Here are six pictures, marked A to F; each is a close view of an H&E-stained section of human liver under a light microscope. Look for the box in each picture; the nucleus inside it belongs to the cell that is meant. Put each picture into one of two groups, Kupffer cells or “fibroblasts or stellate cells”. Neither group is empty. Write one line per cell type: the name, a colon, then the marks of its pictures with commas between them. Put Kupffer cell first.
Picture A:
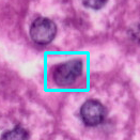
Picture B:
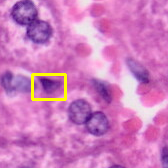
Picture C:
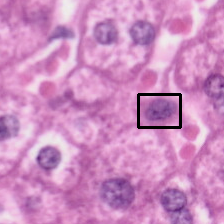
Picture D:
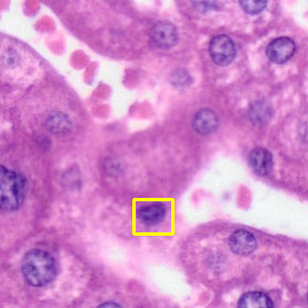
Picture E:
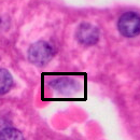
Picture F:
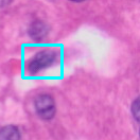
Kupffer cell: A, C, E, F
fibroblast or stellate cell: B, D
